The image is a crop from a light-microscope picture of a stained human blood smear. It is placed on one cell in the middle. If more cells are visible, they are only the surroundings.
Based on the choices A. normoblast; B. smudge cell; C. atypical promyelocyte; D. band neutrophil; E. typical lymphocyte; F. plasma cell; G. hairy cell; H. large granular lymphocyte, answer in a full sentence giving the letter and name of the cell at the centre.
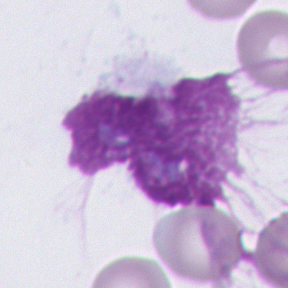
Option B is correct in naming the middle cell a smudge cell.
